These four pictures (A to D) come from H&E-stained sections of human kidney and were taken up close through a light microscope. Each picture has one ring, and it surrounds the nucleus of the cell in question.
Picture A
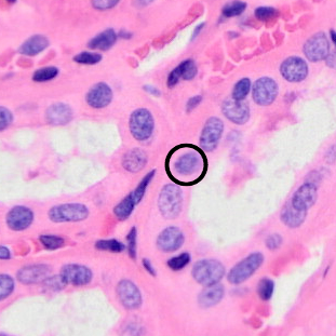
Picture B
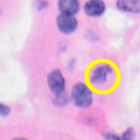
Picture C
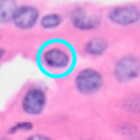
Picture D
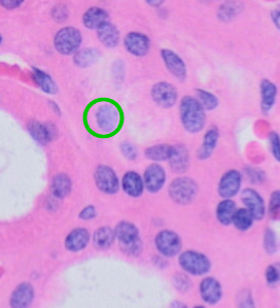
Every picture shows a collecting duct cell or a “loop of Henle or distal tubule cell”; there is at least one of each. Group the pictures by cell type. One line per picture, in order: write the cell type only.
collecting duct cell
collecting duct cell
loop of Henle or distal tubule cell
collecting duct cell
